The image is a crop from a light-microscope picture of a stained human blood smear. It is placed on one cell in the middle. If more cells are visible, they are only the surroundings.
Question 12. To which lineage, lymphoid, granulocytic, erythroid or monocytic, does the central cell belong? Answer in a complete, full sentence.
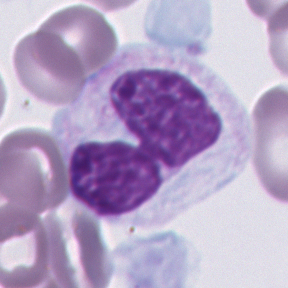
The cell at the crop's center sits within the granulocytic lineage.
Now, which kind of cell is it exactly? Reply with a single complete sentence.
Seen at the centre of the crop is a band neutrophil.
